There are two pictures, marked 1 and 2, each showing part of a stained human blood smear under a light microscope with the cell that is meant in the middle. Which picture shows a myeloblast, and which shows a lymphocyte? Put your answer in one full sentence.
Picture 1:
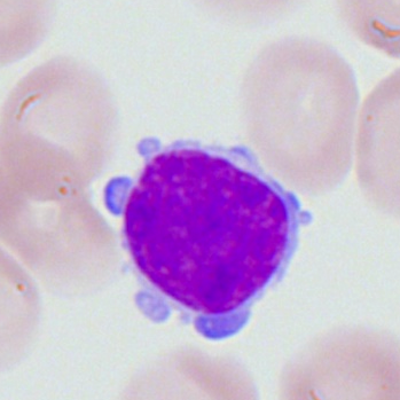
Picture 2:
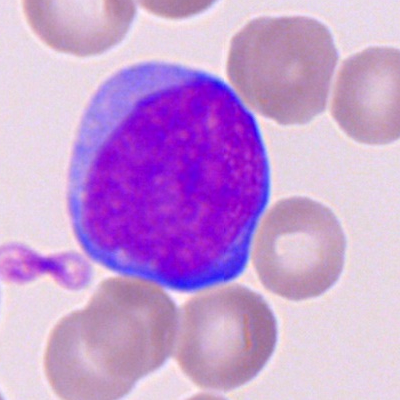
It is picture 1 that shows a lymphocyte, and picture 2 that shows a myeloblast.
